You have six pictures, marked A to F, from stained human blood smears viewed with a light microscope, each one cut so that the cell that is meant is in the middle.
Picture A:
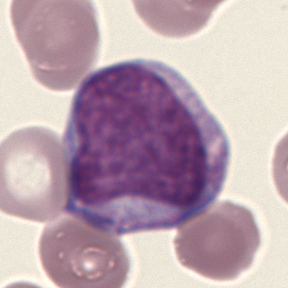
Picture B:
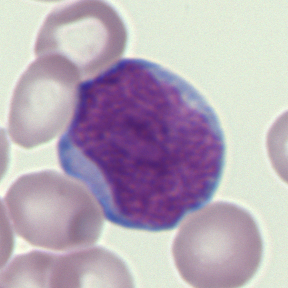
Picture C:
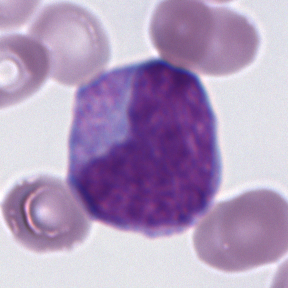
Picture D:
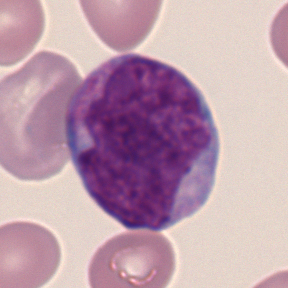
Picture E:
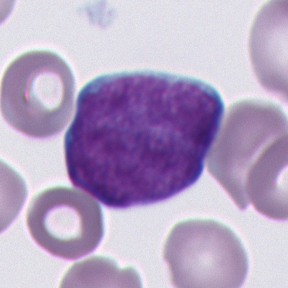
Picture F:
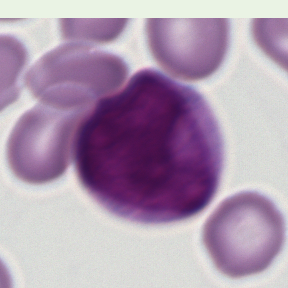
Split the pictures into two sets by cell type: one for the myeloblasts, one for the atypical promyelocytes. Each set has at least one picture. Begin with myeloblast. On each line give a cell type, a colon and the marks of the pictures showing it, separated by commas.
myeloblast: B, E, F
atypical promyelocyte: A, C, D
